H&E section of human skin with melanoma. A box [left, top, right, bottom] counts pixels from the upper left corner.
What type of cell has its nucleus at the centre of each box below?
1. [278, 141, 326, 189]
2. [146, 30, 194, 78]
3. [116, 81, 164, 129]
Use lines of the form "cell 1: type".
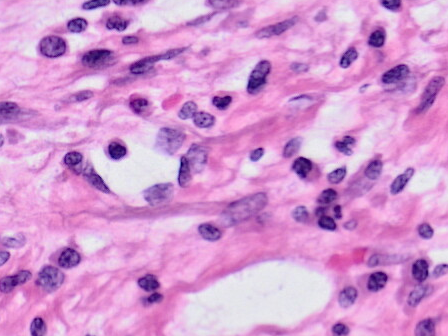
cell 1: plasma cell
cell 2: fibroblast or myofibroblast
cell 3: plasma cell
